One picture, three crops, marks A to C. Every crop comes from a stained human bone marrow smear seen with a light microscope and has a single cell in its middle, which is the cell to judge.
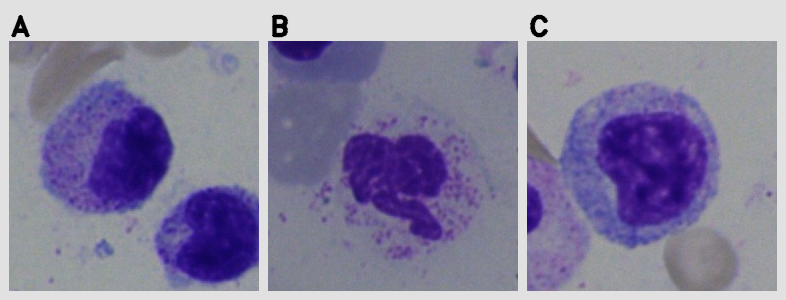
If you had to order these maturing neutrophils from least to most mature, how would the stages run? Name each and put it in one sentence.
From the earliest stage onward, the order is crop A (a myelocyte), crop C (a metamyelocyte) and crop B (a segmented neutrophil).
